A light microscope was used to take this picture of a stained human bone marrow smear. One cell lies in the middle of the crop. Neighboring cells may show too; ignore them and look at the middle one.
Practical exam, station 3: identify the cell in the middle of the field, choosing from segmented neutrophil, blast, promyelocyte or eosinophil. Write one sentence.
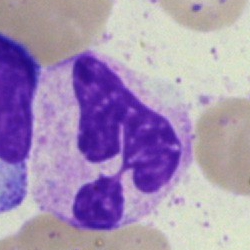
For this crop, the cell in the middle is a segmented neutrophil.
